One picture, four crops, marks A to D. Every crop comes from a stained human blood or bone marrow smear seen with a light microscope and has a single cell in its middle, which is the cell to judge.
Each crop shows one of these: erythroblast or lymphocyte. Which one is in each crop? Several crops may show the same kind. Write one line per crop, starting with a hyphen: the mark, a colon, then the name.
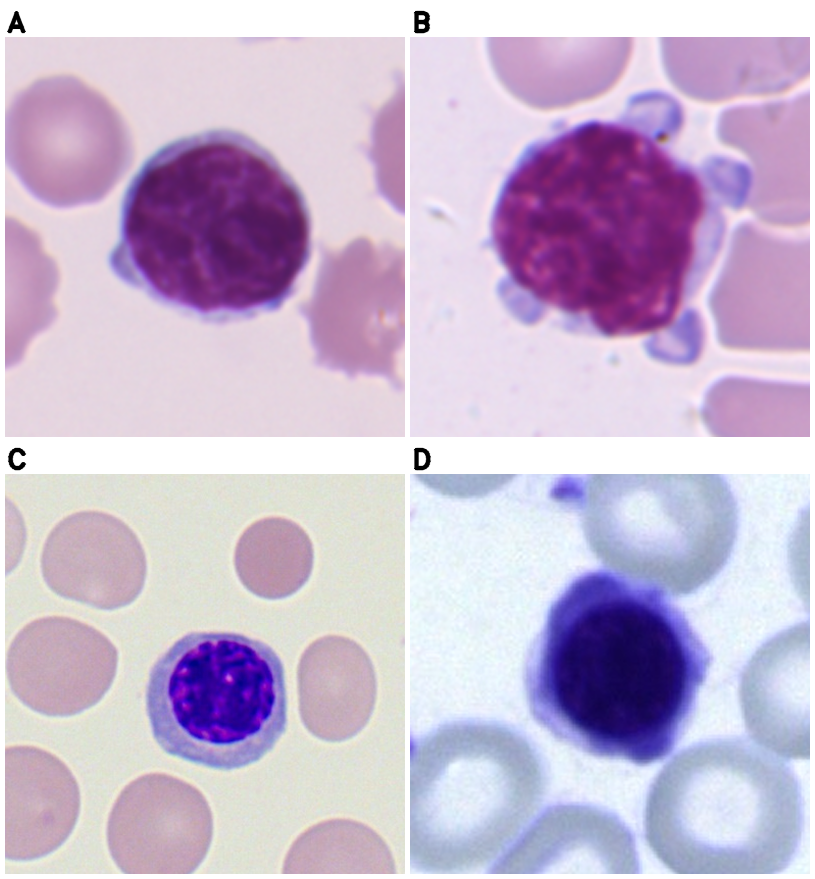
- A: lymphocyte
- B: lymphocyte
- C: erythroblast
- D: erythroblast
